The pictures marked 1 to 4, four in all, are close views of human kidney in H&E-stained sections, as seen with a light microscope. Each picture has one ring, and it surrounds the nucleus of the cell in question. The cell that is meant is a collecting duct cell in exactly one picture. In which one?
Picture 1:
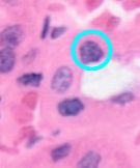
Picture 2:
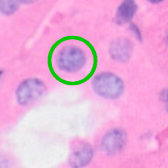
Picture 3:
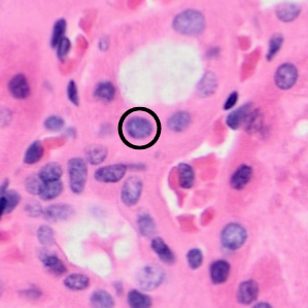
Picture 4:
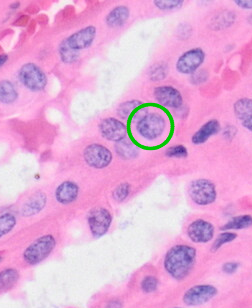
4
